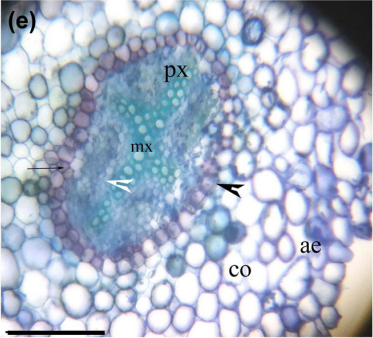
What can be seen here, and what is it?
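Cross-section of a root with a central vascular cylinder stained blue-green, containing thick-walled xylem elements, surrounded by a single ring of purple-stained endodermal cells. Outside lies cortex of rounded, thin-walled parenchyma cells with large air spaces.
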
